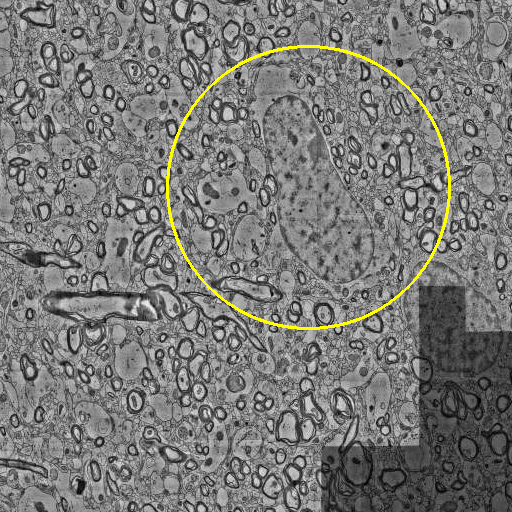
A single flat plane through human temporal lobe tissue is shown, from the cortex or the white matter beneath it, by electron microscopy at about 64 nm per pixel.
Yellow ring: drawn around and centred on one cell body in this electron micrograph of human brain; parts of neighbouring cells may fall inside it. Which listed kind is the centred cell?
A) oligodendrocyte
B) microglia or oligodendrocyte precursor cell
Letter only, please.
B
